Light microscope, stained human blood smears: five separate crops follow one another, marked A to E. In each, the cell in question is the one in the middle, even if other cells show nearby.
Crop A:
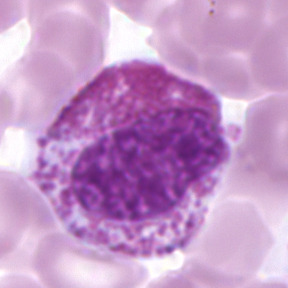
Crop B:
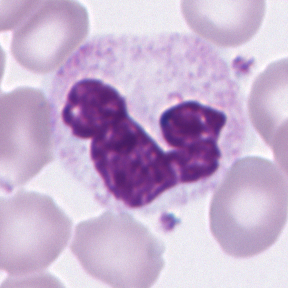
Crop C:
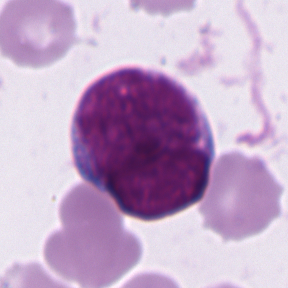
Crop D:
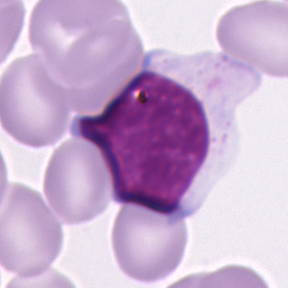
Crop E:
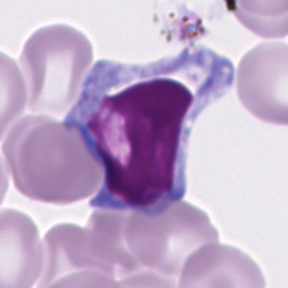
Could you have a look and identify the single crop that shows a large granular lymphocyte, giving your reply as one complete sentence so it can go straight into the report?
Crop D is the one depicting a large granular lymphocyte.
